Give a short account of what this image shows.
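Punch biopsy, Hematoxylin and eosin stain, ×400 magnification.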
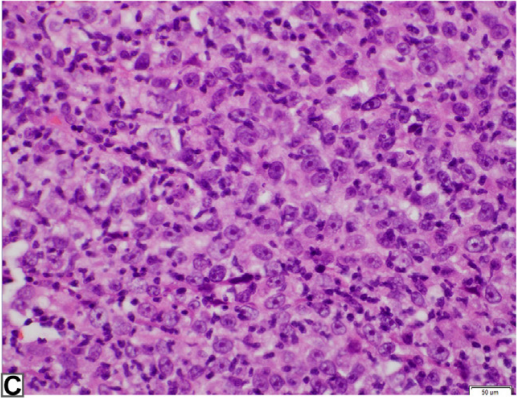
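Large cells with ample pale pink cytoplasm and oval, vesicular nuclei with distinct nucleoli lie in disorganised sheets without any recognisable pattern of differentiation. Between them, many small cells with dense, dark round nuclei are scattered throughout, some with eccentric nuclei and a rim of pink cytoplasm. This fits poorly differentiated tumor cells densely infiltrated by lymphocytes and plasma cells.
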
